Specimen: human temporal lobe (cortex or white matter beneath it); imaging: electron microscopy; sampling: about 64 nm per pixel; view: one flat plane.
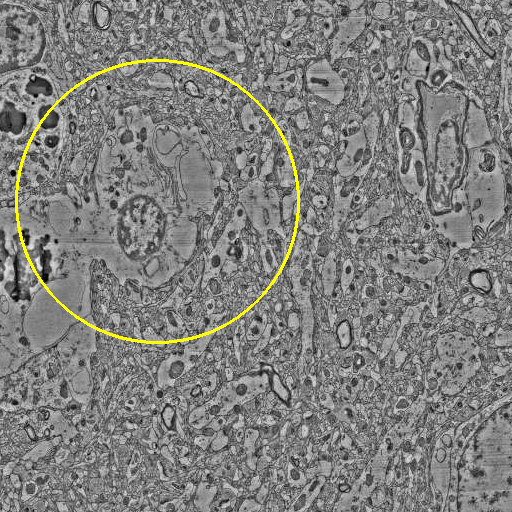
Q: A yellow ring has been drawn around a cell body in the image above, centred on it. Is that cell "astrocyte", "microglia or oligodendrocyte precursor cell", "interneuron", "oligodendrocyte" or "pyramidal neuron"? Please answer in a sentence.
The ring surrounds the cell body of an astrocyte.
